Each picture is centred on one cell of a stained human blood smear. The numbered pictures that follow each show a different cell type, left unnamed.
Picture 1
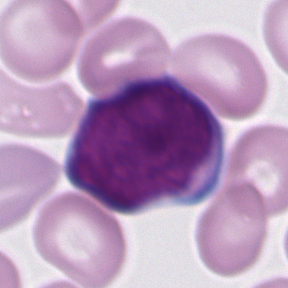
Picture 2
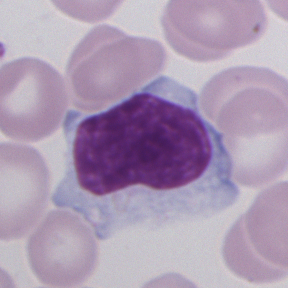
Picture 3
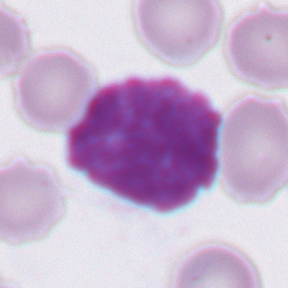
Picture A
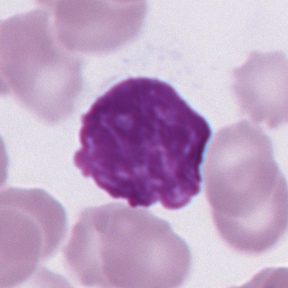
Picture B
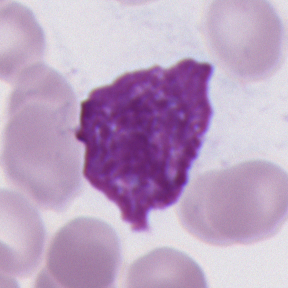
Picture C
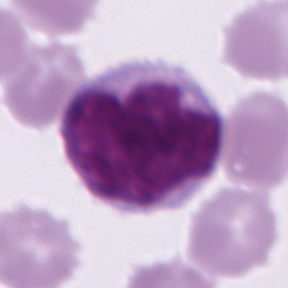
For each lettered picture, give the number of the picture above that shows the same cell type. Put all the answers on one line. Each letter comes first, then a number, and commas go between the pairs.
A 3, B 3, C 1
